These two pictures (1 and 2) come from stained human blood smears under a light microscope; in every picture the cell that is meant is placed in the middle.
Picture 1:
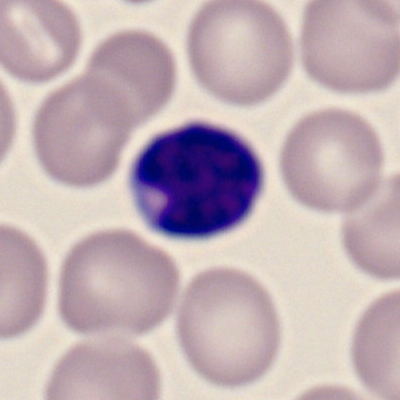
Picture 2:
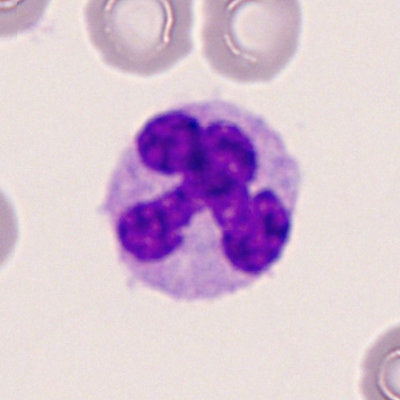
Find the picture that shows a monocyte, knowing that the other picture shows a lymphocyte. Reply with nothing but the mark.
2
